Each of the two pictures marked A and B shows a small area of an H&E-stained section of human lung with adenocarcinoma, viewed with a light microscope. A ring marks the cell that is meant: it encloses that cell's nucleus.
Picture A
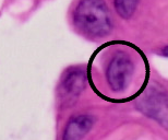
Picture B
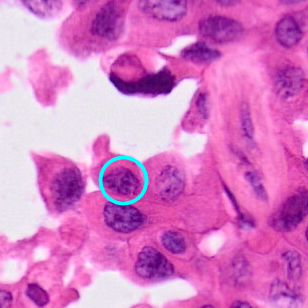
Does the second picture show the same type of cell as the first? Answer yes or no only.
yes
